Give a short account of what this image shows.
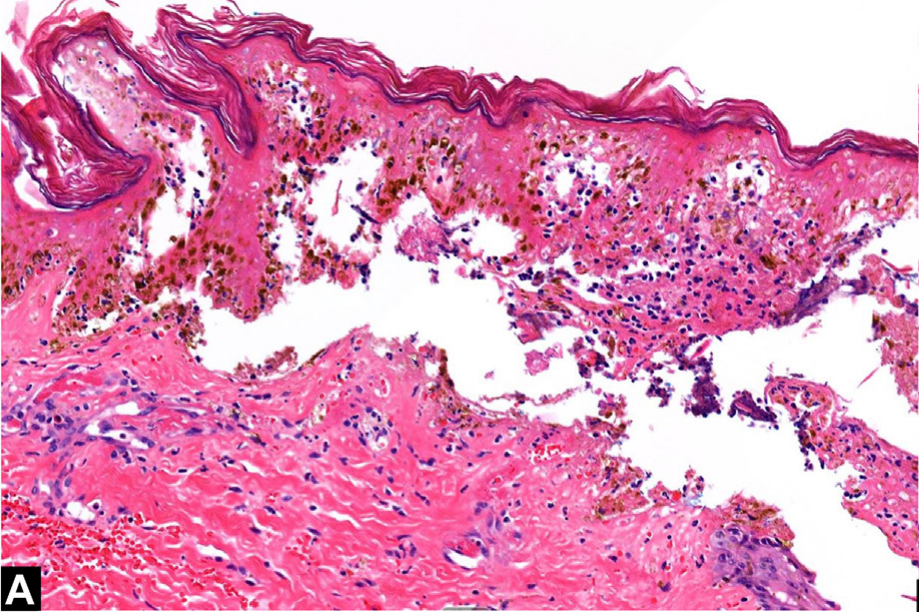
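This is skin in which the epidermis shows necrosis: the keratinocytes are pale pink and mostly lack clear nuclei. A wavy, compact pink-purple cornified layer covers the surface. The damaged epidermis contains coarse brown granular material and scattered small dark inflammatory cell nuclei. A wide cleft separates the epidermis from the dermis below.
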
